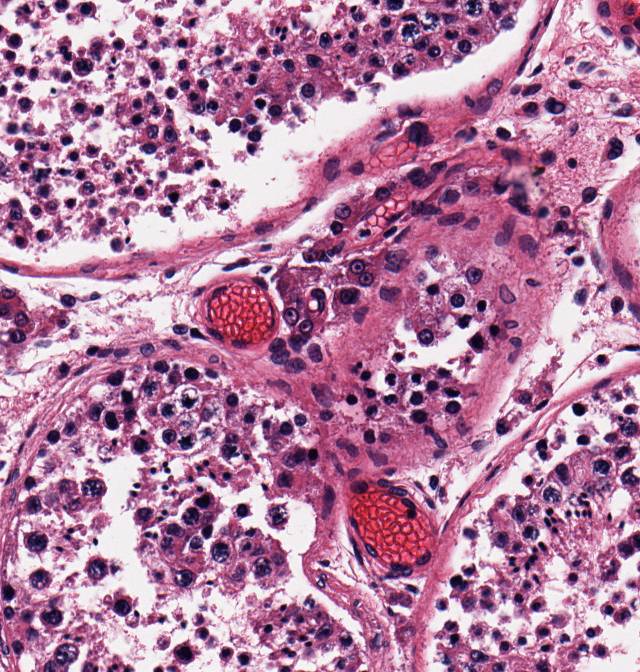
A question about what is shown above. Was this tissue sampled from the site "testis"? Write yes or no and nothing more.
yes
